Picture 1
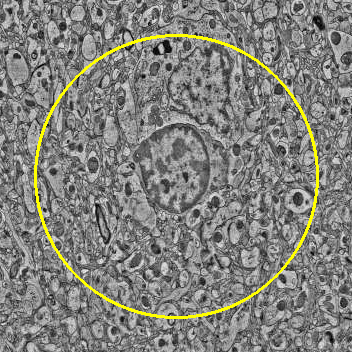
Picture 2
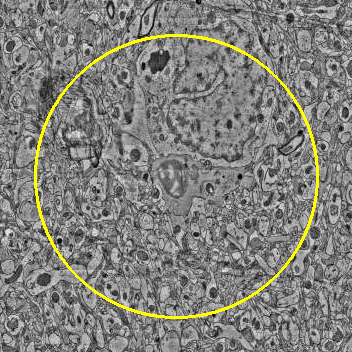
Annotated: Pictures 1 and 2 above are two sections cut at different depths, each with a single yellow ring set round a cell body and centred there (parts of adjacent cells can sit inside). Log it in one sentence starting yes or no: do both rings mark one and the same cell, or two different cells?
Yes, both yellow rings mark one and the same cell.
